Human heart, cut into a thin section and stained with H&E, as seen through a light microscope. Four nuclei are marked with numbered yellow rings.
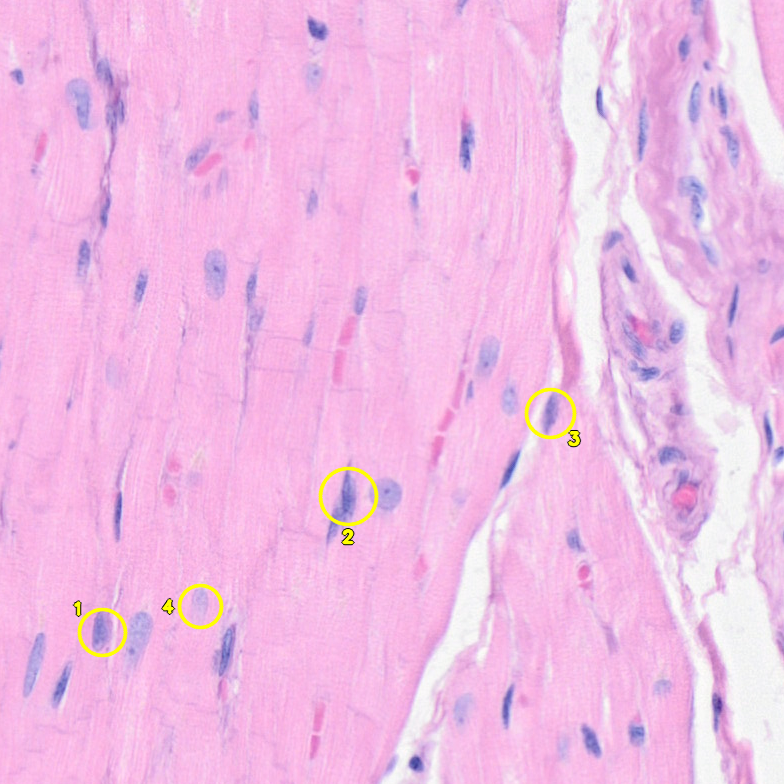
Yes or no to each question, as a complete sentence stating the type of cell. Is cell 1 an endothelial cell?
No, cell 1 is not an endothelial cell; it is a cardiomyocyte.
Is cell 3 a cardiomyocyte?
No, not a cardiomyocyte: the cell with number 3 is a fibroblast.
